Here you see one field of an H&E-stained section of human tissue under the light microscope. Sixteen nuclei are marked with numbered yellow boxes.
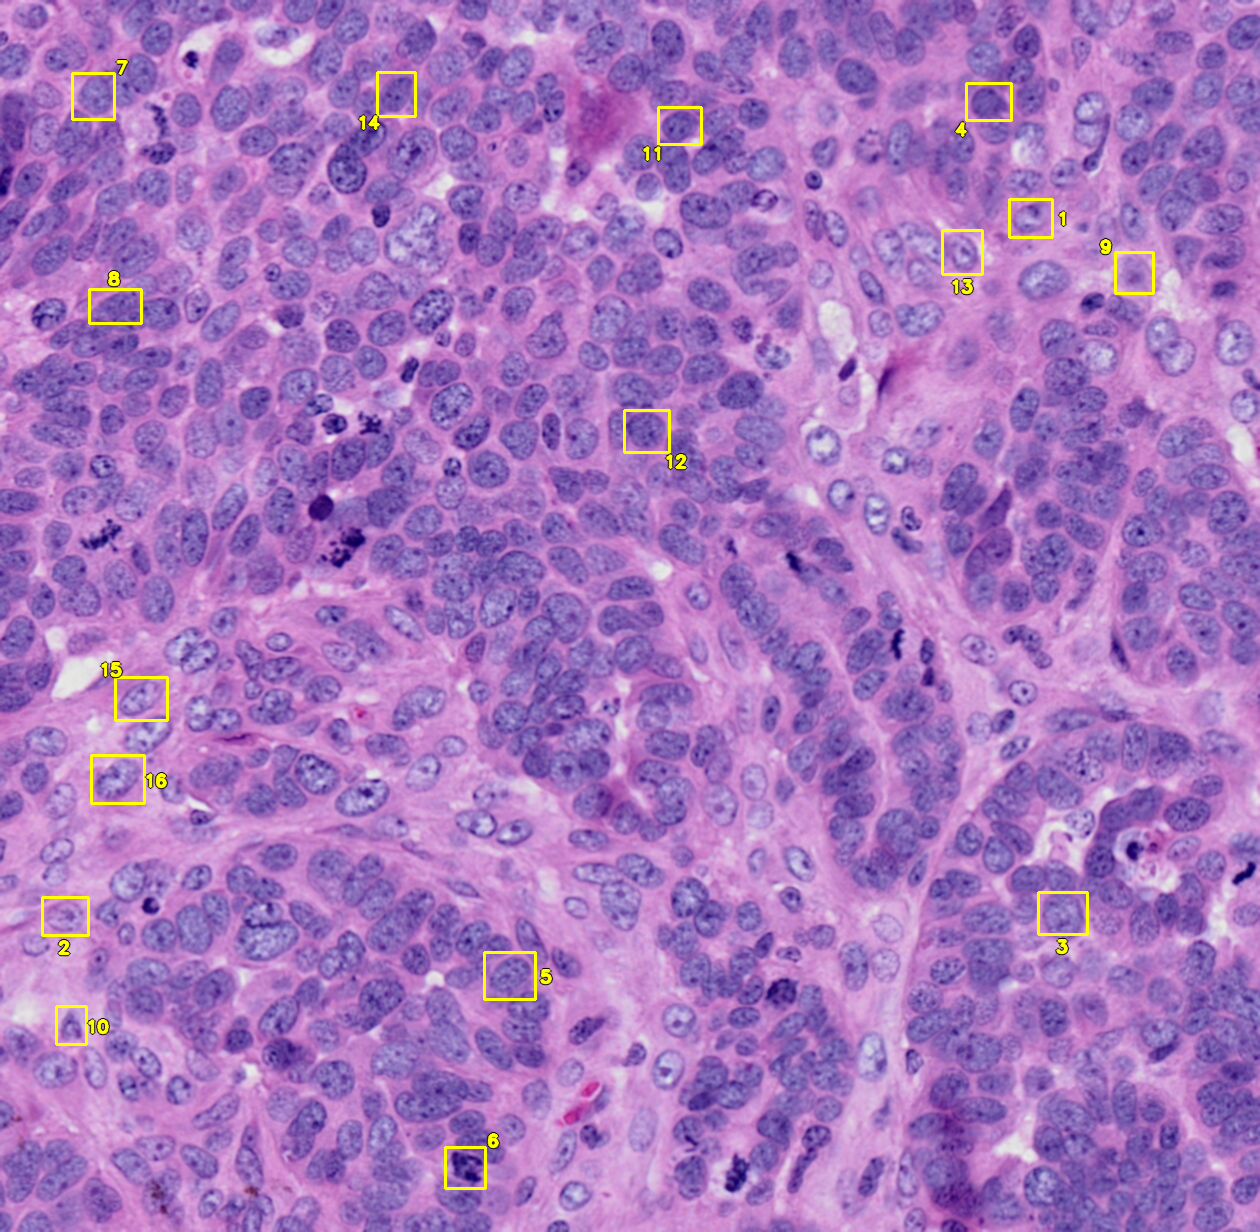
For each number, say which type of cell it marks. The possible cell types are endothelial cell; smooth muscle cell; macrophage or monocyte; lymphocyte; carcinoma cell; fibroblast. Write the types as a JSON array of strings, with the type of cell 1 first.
["fibroblast", "fibroblast", "carcinoma cell", "carcinoma cell", "carcinoma cell", "carcinoma cell", "carcinoma cell", "carcinoma cell", "fibroblast", "macrophage or monocyte", "carcinoma cell", "carcinoma cell", "fibroblast", "carcinoma cell", "fibroblast", "fibroblast"]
